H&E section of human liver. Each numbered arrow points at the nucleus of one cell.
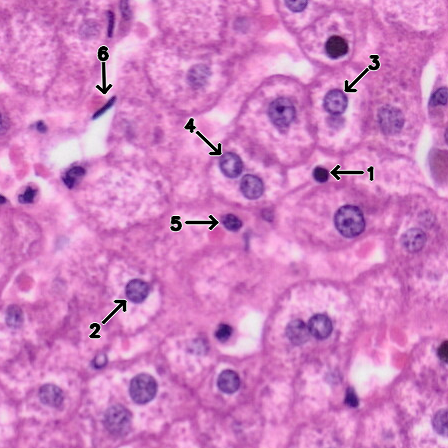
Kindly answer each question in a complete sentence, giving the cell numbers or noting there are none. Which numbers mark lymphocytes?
The cells bearing the numbers 1 and 5 are lymphocytes.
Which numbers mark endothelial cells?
Response: cell 6 is an endothelial cell, and no other numbered cell is.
